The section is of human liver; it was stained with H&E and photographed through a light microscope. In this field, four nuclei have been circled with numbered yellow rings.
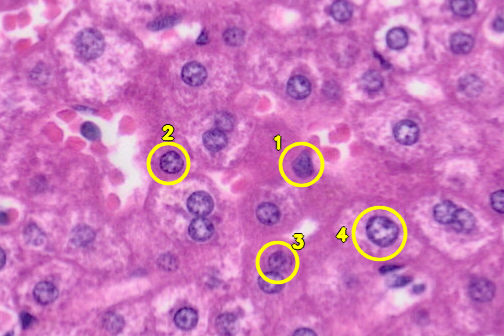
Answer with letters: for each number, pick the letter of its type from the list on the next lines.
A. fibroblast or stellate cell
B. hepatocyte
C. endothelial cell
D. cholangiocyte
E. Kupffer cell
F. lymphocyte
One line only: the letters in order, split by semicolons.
A; B; B; B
